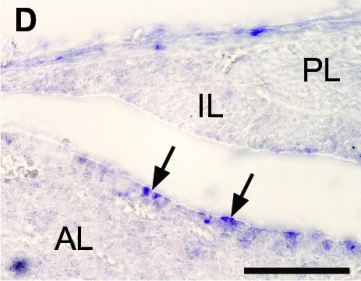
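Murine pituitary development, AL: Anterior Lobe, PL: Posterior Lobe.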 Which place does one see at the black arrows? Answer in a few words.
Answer: Marginal zone.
